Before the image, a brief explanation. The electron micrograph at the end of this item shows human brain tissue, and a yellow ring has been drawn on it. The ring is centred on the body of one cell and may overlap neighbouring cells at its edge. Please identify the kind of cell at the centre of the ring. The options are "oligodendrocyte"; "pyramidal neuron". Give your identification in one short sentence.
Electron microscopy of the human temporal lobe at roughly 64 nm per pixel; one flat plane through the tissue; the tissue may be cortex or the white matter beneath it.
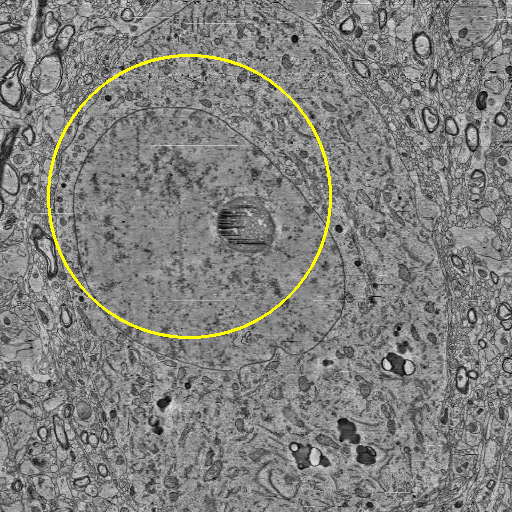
The ring has been placed around a pyramidal neuron.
